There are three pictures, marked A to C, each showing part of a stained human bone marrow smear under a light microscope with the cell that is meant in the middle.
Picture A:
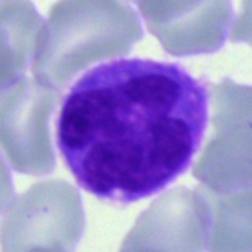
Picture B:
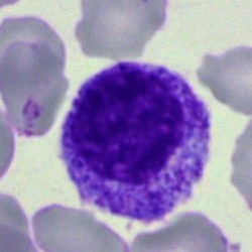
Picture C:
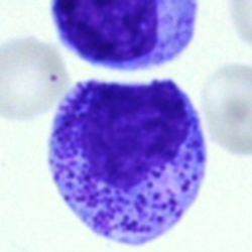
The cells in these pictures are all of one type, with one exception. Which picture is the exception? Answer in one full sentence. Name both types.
All pictures except A show myelocytes; picture A shows a monocyte.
